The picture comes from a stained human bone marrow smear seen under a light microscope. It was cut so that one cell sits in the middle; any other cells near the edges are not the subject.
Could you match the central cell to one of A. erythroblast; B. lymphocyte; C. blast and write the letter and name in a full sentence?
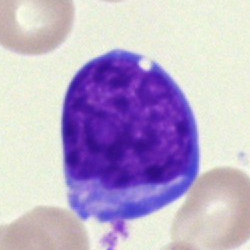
The cell in the center of this crop is a blast, so option C is the one to pick.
